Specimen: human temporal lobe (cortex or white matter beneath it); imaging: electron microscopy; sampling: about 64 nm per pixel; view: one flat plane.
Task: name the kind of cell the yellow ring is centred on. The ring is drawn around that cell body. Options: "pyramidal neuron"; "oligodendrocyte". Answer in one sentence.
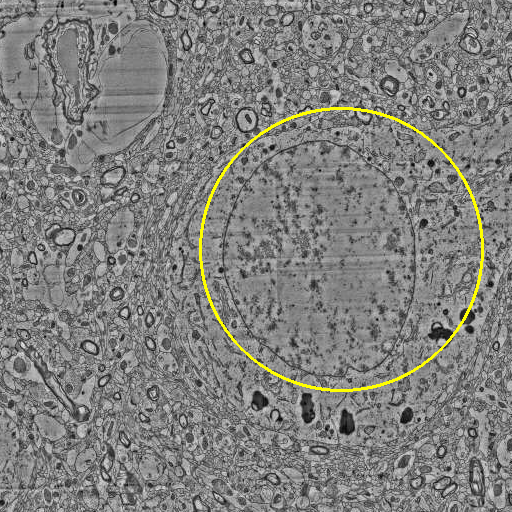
This cell body belongs to a pyramidal neuron.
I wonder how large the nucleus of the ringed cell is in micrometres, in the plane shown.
About 15 by 12 micrometers, in this plane.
